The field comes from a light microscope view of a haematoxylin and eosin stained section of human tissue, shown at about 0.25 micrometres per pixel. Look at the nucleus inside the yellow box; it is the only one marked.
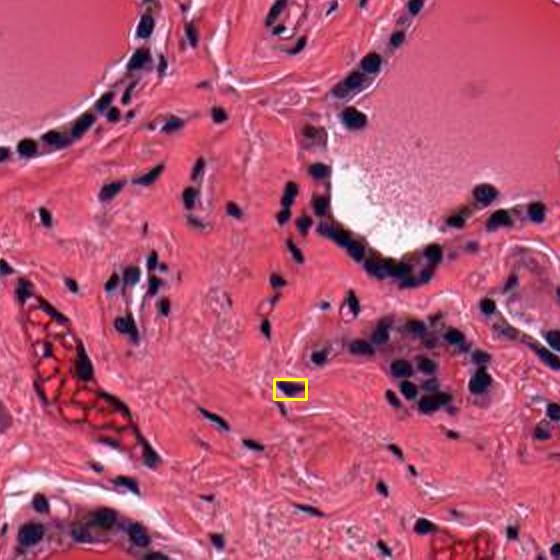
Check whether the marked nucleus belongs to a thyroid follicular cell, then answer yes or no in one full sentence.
No, as for the marked nucleus, it belongs to a supporting cell and not to a thyroid follicular cell.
